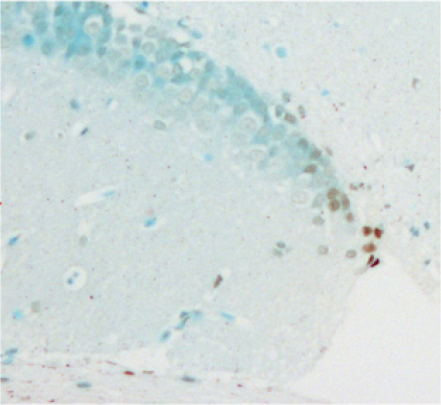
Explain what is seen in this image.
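This is hippocampal tissue with a brown reaction product on a blue-green counterstain. A curved band of neurons with pale blue-green cytoplasm and rounded nuclei runs across the field. At the lower end of the band, a cluster of small, condensed nuclei is stained brown to dark red-brown. Most nuclei elsewhere in the band stay unstained blue-green. Scattered elongated blue-green nuclei lie in the pale surrounding neuropil, and a few brown dots sit along the bottom edge.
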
